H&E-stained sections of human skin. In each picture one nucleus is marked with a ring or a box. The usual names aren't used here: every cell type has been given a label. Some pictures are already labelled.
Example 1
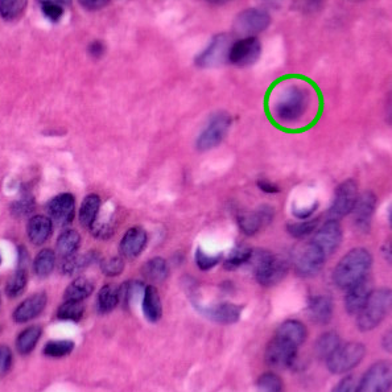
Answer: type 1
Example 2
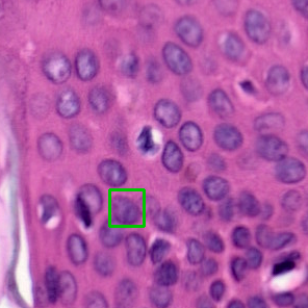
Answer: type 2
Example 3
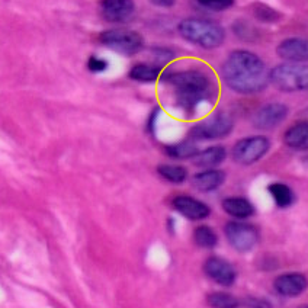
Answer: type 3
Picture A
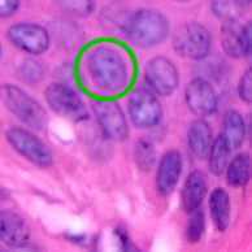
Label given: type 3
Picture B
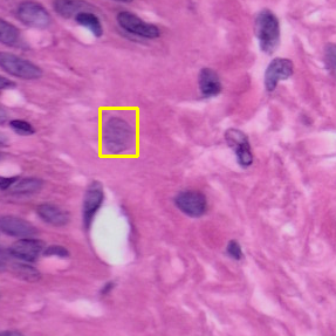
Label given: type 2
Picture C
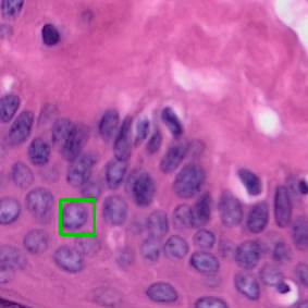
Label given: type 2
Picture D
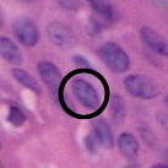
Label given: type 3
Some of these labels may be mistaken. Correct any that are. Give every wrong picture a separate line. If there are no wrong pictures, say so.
Wrong: A (type 3); correct: type 2
Wrong: B (type 2); correct: type 1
